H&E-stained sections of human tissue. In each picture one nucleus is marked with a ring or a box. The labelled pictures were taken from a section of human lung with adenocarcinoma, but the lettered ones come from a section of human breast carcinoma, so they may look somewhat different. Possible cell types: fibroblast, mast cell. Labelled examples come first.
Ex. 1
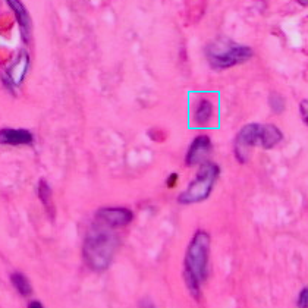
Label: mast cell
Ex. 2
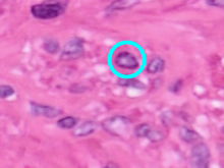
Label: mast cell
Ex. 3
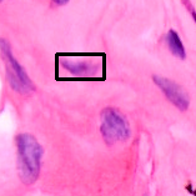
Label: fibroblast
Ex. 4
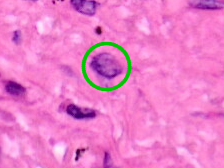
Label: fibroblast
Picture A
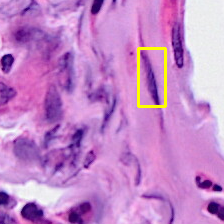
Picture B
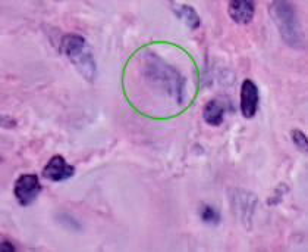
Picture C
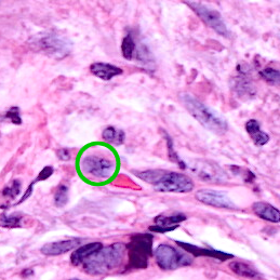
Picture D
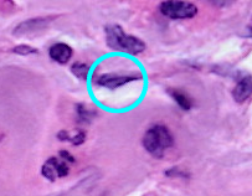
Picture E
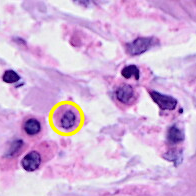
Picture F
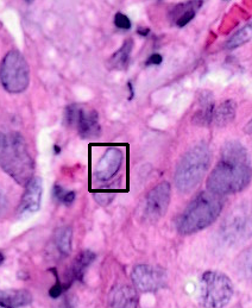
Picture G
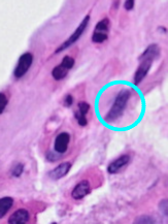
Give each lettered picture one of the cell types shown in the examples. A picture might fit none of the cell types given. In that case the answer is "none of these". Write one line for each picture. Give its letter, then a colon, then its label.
A: fibroblast
B: fibroblast
C: none of these
D: fibroblast
E: mast cell
F: none of these
G: fibroblast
